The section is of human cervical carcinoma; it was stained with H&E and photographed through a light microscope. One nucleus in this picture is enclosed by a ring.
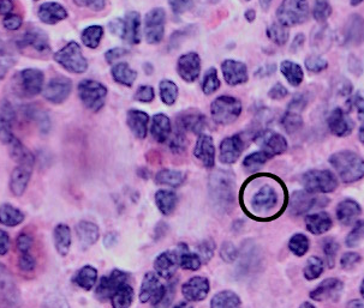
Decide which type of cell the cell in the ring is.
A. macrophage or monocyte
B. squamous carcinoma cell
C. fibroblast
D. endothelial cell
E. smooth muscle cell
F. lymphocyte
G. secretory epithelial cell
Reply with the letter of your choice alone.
F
